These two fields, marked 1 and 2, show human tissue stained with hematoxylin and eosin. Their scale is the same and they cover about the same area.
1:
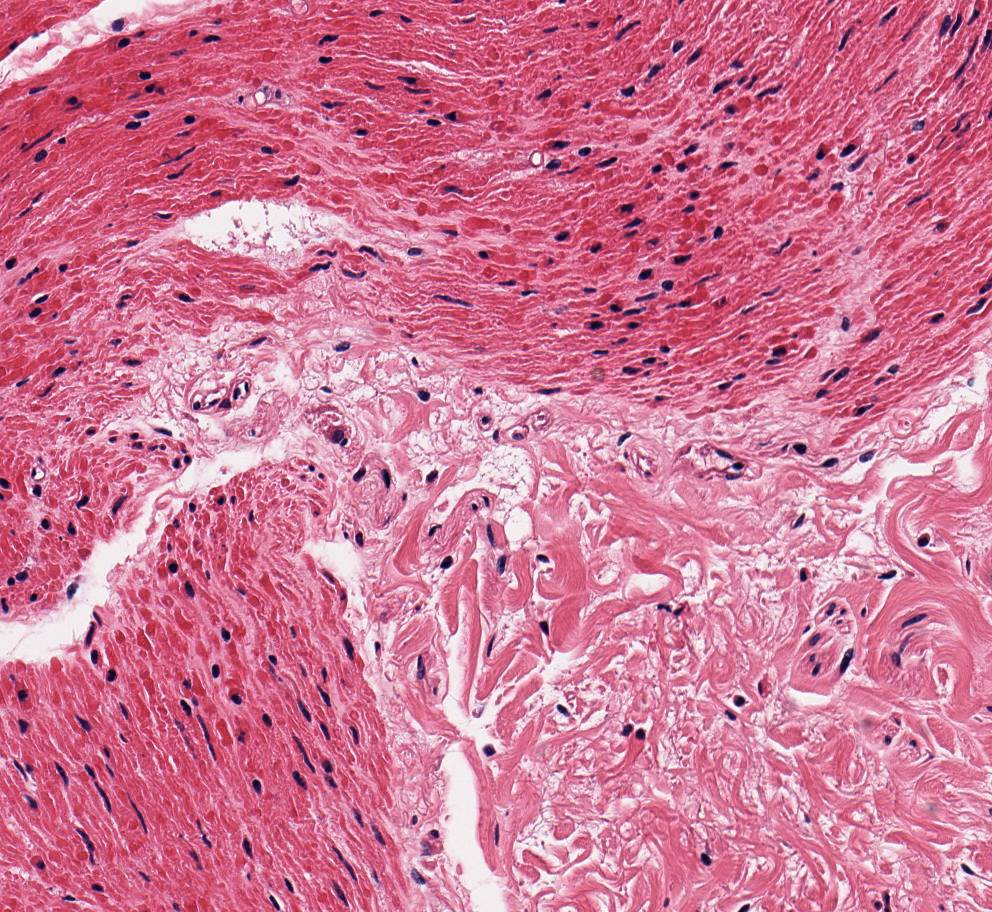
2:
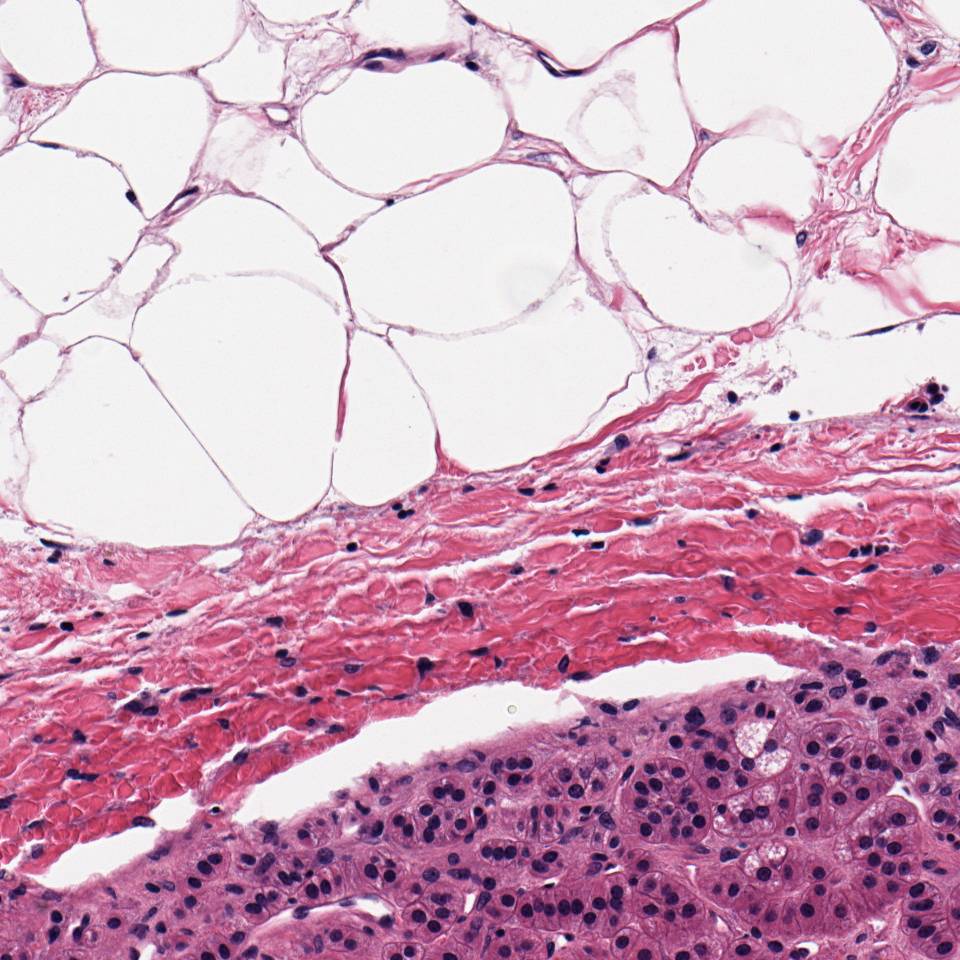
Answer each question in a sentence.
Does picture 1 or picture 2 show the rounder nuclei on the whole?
Rounder nuclei lie in picture 2.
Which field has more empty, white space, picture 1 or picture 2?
Picture 2 has more white space.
